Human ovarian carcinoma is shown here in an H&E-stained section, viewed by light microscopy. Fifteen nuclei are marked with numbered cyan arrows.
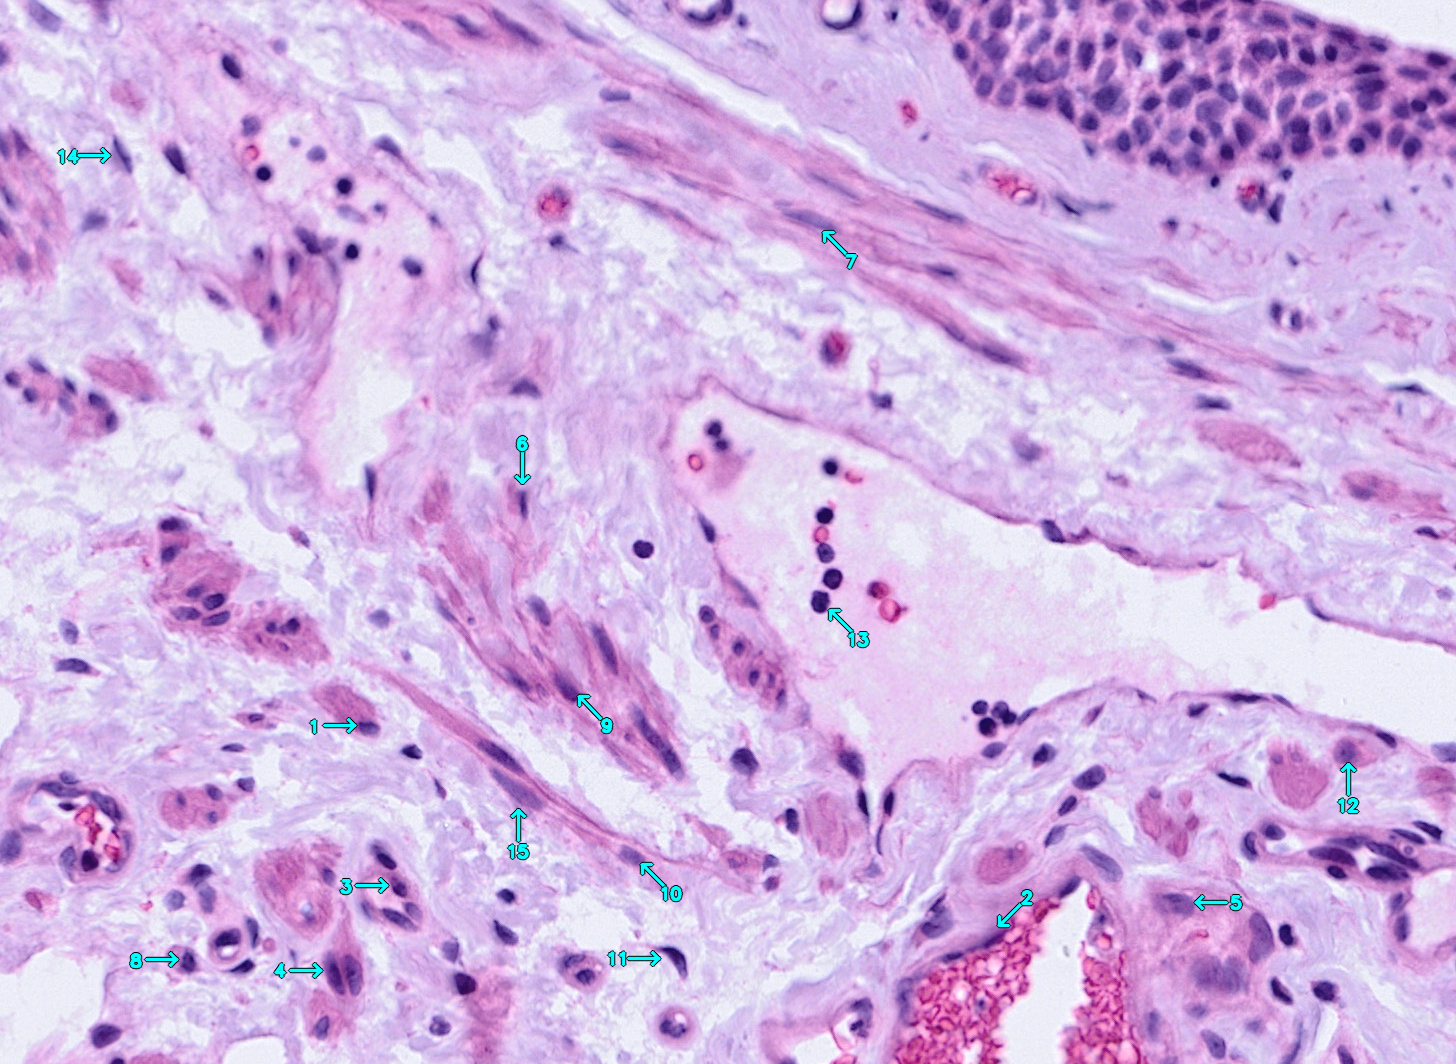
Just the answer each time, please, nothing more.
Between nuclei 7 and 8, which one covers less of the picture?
8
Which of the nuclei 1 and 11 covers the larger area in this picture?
11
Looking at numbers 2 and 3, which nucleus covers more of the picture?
2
